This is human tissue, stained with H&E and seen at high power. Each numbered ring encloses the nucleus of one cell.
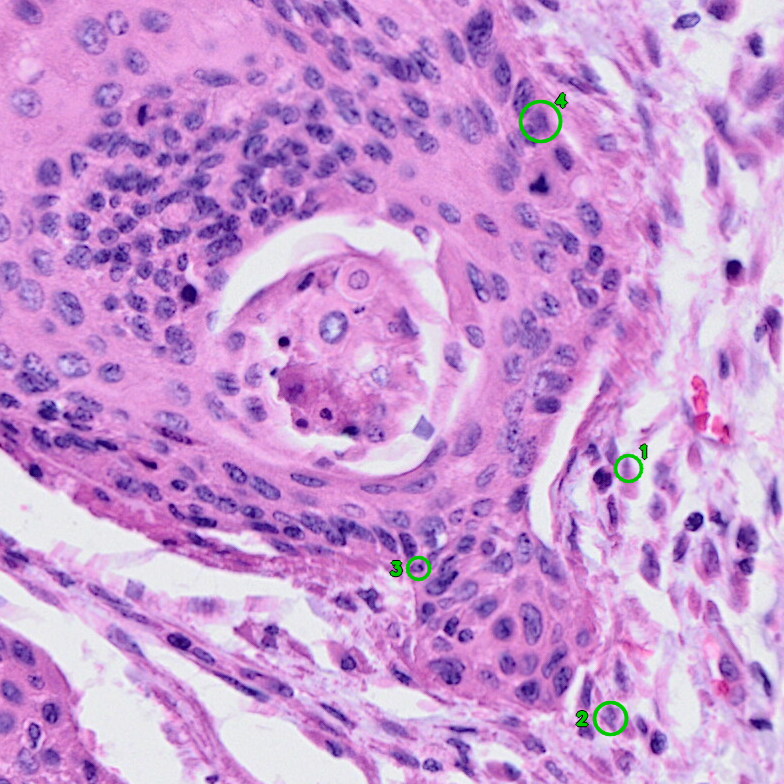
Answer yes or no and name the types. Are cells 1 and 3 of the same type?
No, sorry, cell 1 is a fibroblast and cell 3 is a squamous carcinoma cell.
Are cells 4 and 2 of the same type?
No, mate, cell 4 is a squamous carcinoma cell and cell 2 is a fibroblast.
